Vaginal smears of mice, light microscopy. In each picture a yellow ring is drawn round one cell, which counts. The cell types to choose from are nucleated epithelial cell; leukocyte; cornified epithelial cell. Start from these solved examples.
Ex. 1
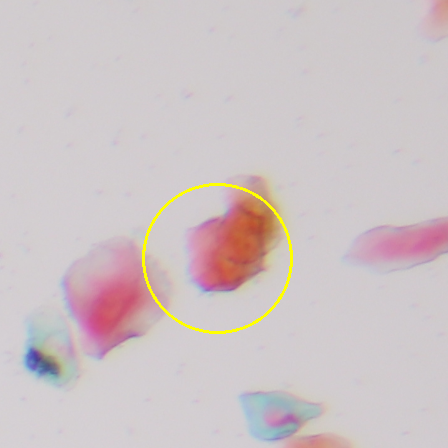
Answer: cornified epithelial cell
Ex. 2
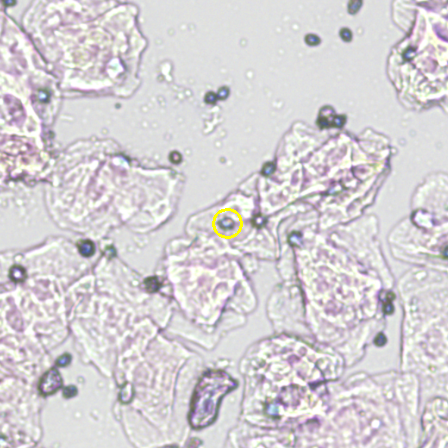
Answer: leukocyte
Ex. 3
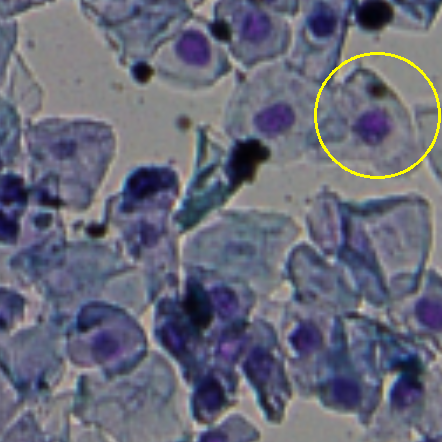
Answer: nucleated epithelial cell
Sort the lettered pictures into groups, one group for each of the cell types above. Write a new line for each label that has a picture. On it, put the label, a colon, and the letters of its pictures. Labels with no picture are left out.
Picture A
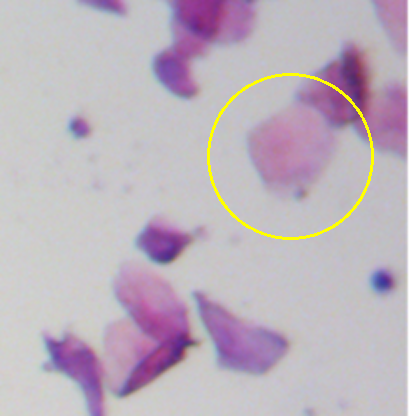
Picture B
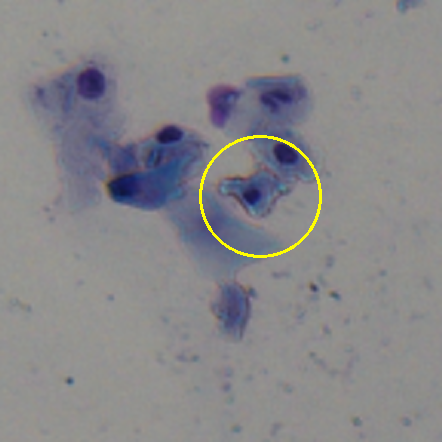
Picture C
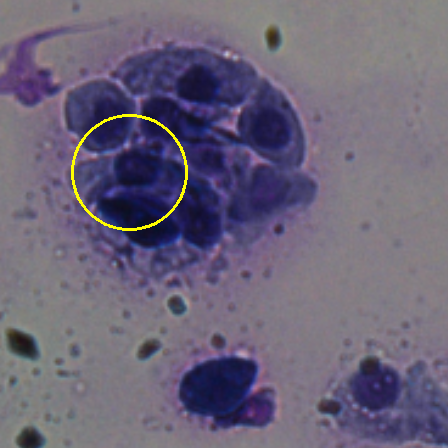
nucleated epithelial cell: B, C
cornified epithelial cell: A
